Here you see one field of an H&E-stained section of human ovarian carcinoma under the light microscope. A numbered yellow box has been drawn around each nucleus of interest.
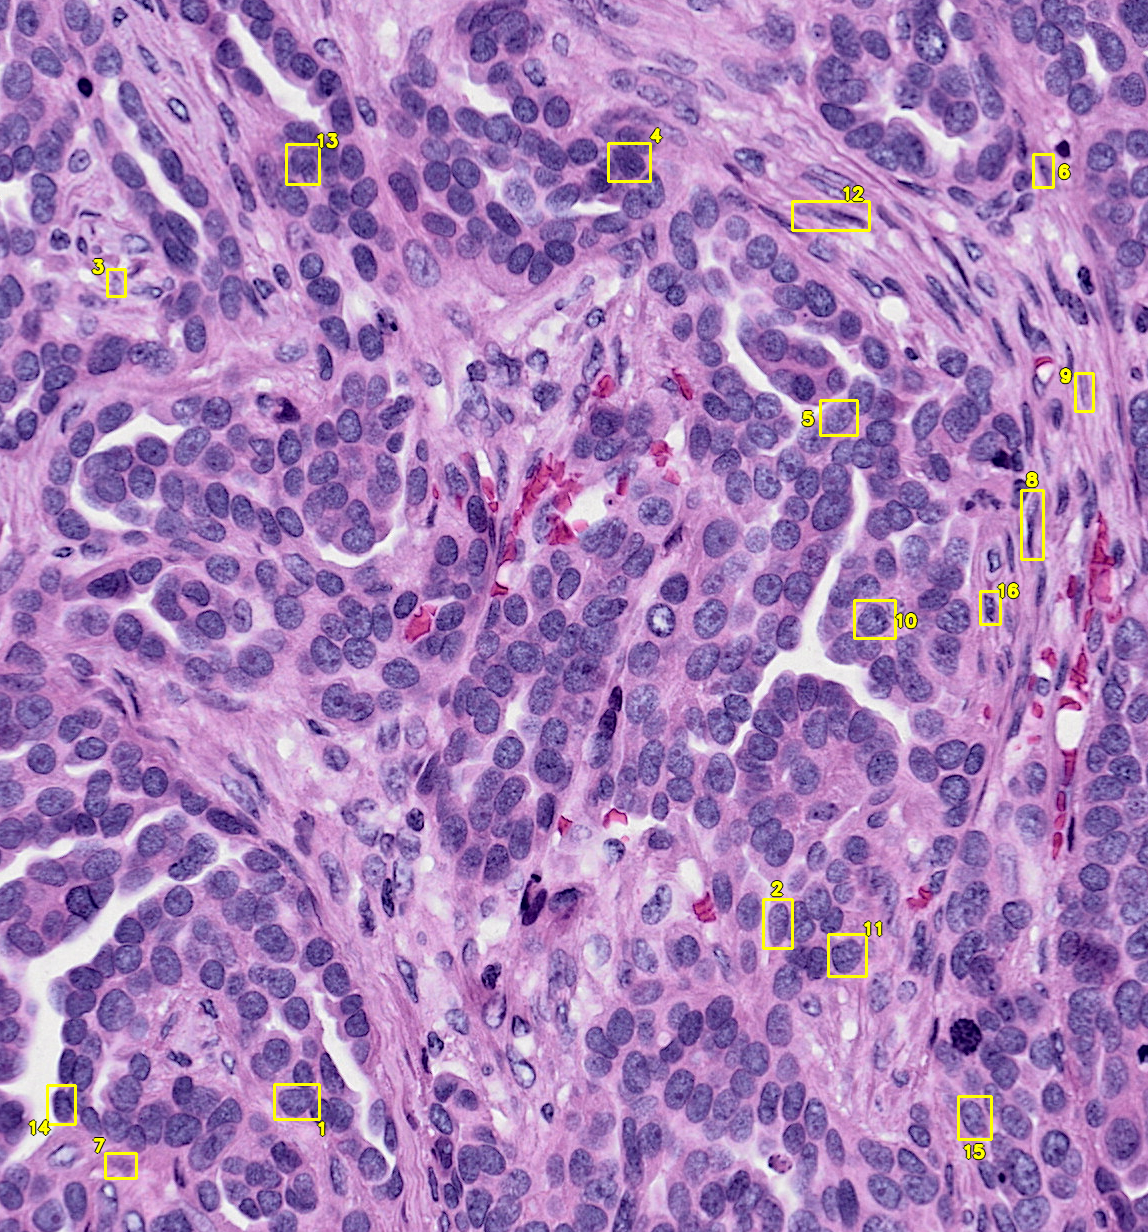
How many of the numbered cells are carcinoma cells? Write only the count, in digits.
9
